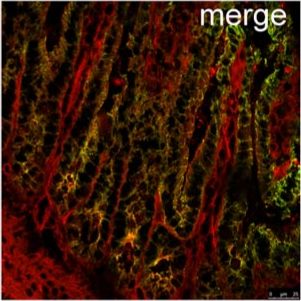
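Small intestinal mucosa with parallel villi cut lengthwise. Epithelial cell borders show a honeycomb of green and yellow outlines, while bright red lines run along the long axes of the villi and a dense red meshwork fills the lower left corner.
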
